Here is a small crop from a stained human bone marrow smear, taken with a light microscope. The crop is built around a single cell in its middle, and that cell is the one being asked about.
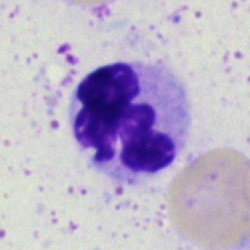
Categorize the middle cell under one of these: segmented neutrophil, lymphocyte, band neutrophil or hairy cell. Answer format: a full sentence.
In short, the cell at the center is a segmented neutrophil.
